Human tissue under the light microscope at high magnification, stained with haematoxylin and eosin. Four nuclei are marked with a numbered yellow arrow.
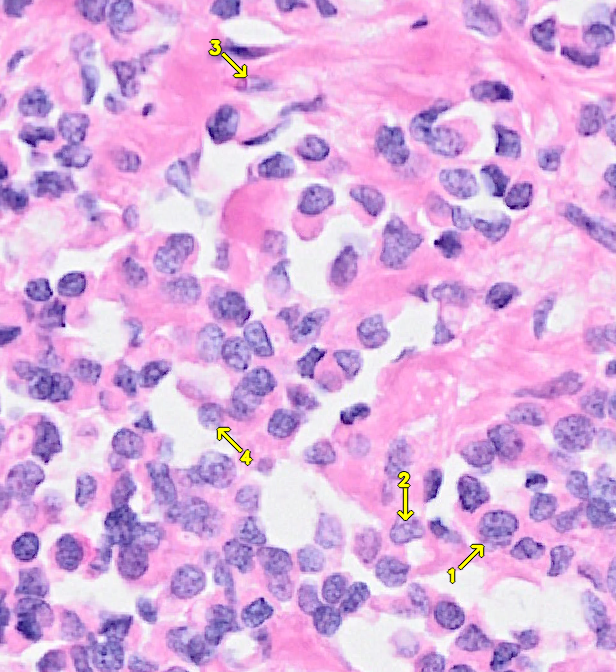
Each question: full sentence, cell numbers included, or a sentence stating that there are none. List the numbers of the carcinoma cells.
Into the category of carcinoma cells fall the cells numbered 1, 2 and 4.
